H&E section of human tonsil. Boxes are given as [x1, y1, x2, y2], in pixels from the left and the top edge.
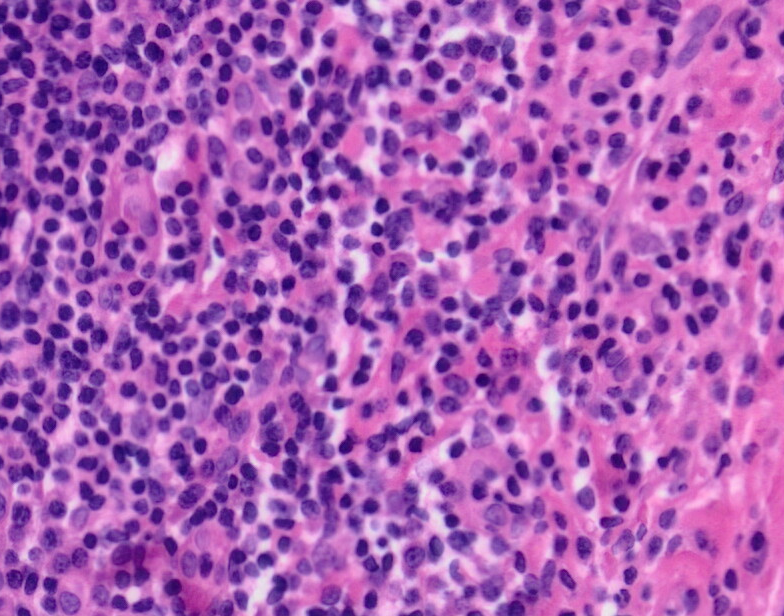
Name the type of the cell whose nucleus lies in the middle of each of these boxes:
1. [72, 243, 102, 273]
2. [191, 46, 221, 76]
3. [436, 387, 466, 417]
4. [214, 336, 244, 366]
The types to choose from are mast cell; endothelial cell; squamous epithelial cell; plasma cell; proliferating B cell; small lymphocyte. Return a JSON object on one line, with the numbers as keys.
{"1": "small lymphocyte", "2": "small lymphocyte", "3": "plasma cell", "4": "small lymphocyte"}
